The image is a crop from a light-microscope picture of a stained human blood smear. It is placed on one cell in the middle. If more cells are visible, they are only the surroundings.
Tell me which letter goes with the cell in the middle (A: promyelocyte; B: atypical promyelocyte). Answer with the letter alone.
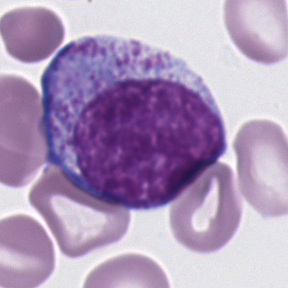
A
